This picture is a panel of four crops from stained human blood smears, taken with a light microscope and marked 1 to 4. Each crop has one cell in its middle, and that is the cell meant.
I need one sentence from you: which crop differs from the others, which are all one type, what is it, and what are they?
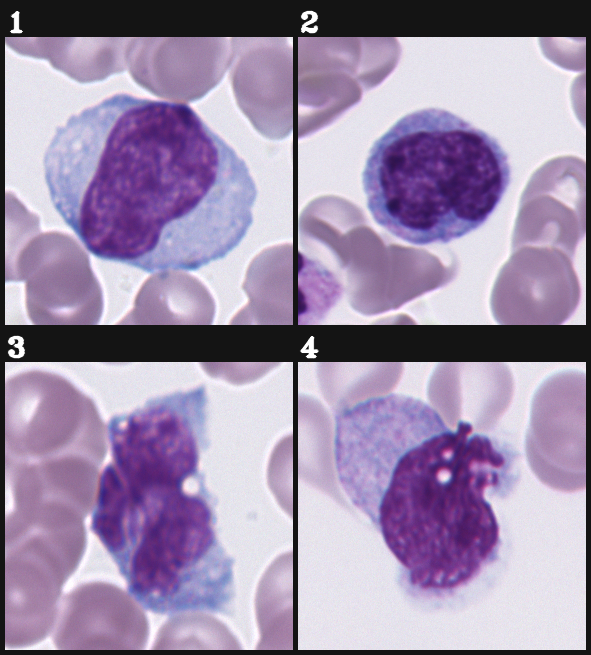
Just crop 1 is a myeloblast; all the other crops show monocytes.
